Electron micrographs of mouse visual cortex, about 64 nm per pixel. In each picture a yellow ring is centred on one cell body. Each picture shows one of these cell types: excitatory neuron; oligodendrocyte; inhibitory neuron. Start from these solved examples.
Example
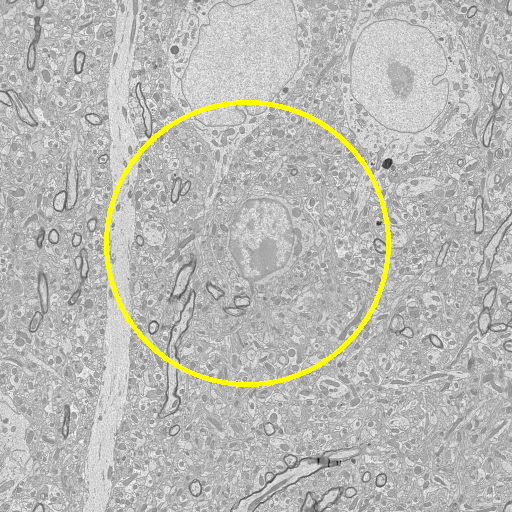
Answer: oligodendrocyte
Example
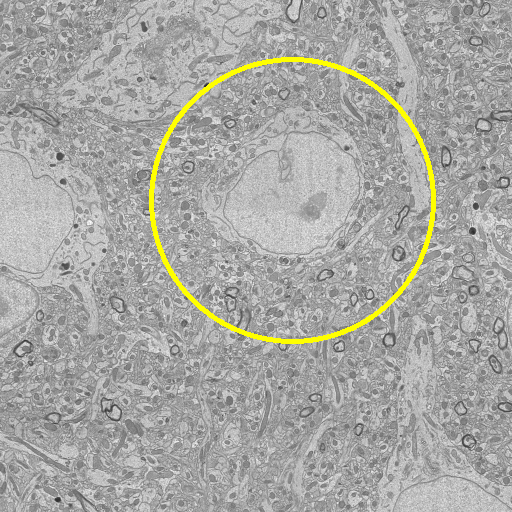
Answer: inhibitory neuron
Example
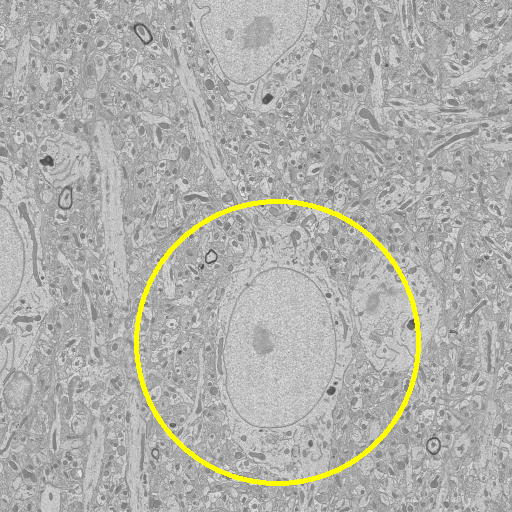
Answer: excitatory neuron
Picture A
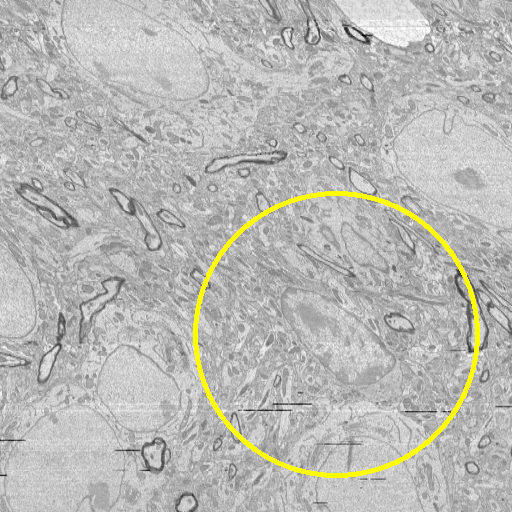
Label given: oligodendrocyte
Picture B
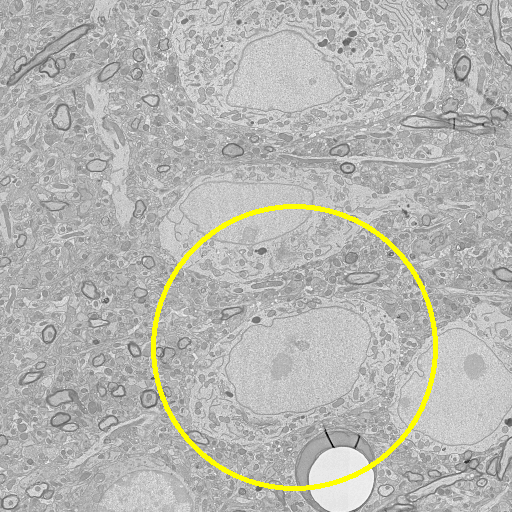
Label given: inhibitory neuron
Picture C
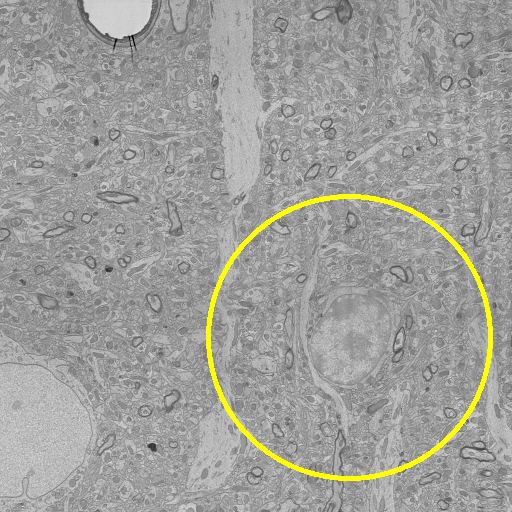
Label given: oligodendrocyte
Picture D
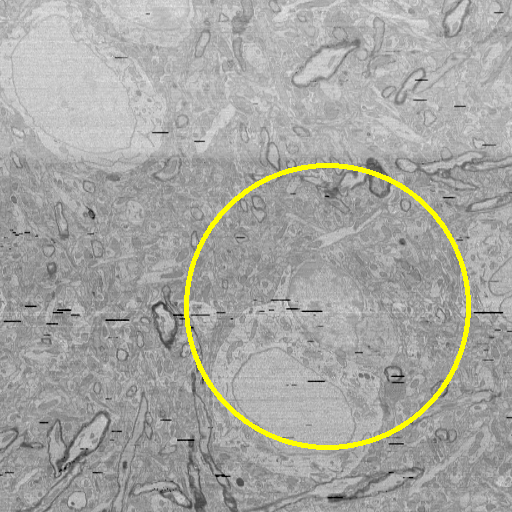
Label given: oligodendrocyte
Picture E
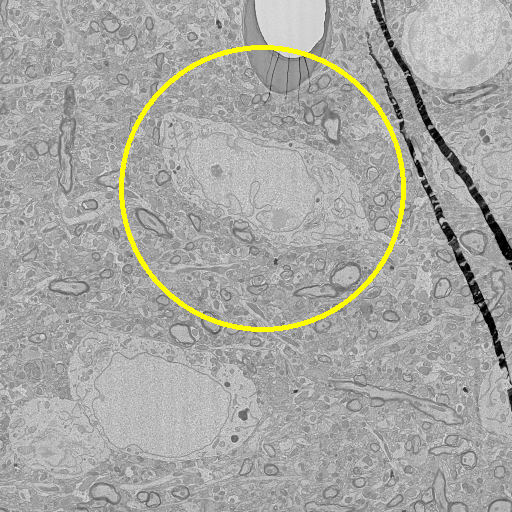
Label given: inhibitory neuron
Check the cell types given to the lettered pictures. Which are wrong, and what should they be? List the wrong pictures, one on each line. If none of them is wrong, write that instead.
Every label is right.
